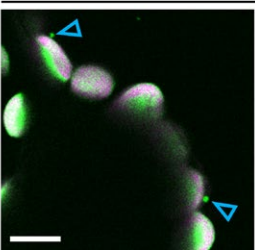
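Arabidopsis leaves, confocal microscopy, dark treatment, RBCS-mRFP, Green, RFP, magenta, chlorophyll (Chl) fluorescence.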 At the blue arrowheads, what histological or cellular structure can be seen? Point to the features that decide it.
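Chloroplast budding structures. Small green dots sit at the tips of oval magenta-and-green bodies. The dots lie just outside the magenta bodies.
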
